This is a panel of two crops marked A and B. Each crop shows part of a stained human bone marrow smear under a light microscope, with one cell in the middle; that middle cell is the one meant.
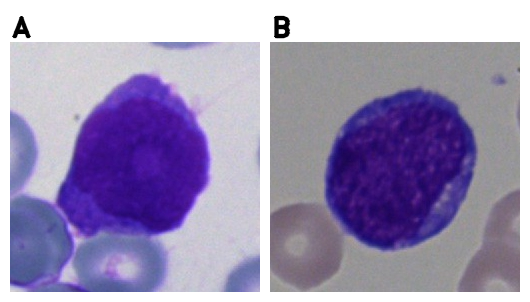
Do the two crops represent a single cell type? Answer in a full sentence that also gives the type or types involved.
Yes, put down blasts for both crops.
